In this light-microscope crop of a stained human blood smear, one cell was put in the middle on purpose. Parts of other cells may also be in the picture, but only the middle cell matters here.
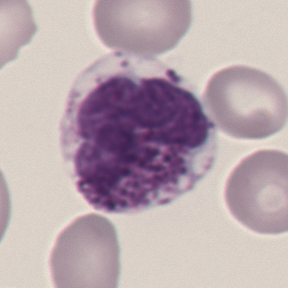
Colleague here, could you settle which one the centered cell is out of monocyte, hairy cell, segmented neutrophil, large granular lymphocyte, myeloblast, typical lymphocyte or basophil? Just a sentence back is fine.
The central cell shown in this smear crop is a basophil.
